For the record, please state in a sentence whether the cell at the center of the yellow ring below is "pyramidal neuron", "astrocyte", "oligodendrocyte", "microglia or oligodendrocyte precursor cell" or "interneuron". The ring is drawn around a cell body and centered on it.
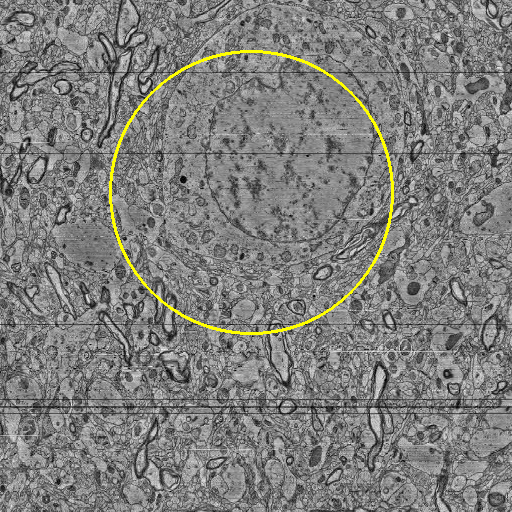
The cell at the ring's center is a pyramidal neuron.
